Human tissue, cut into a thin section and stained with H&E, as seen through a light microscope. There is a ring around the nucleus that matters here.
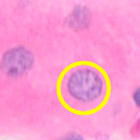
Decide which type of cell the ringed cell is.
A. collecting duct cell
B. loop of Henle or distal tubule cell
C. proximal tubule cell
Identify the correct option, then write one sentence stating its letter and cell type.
The correct option here, C, identifies the ringed cell as a proximal tubule cell.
